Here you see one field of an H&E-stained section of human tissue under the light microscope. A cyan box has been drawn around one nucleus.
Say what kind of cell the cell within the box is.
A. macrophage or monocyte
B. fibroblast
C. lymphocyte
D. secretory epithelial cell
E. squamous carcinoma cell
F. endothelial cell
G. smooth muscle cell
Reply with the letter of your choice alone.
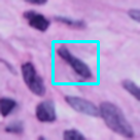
B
